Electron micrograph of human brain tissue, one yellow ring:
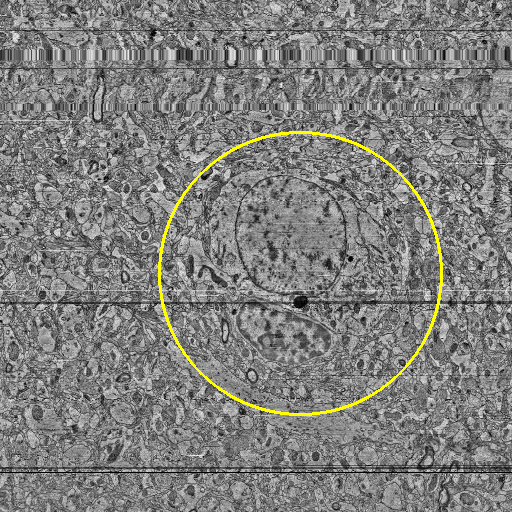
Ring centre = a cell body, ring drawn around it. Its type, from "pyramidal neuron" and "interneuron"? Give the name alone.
pyramidal neuron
